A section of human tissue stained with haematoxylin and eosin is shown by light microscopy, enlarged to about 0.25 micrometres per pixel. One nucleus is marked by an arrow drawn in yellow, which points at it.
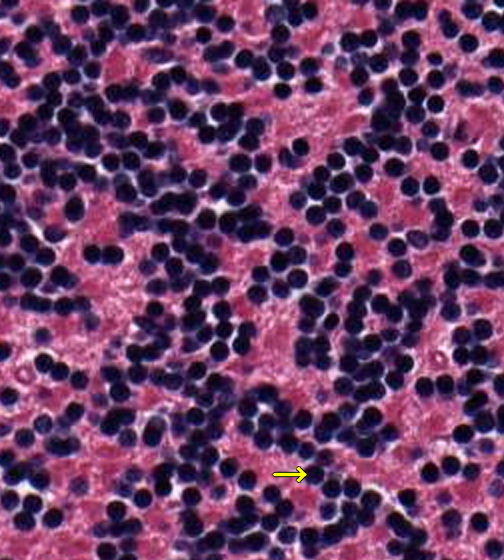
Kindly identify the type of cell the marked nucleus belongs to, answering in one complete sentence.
The mark indicates the nucleus of a cerebellar granule cell.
